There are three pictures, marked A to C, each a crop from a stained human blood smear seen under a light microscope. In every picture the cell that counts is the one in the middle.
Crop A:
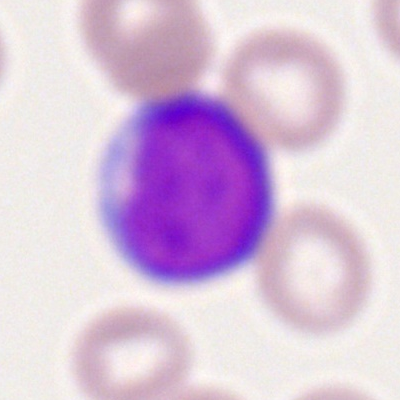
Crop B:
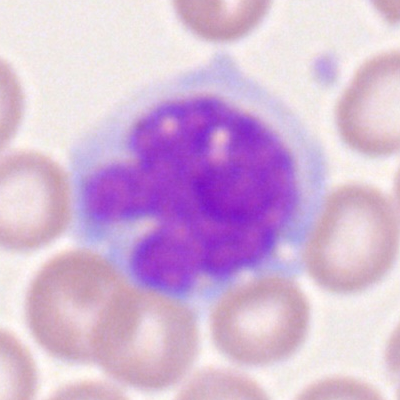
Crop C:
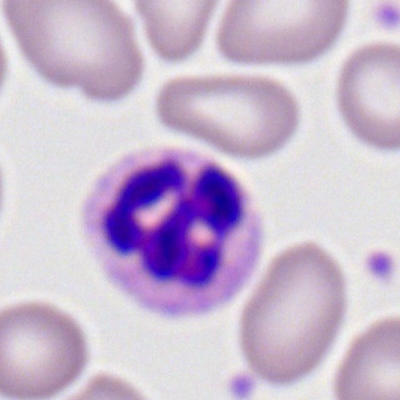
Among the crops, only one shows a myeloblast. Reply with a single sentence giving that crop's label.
Crop A, and no other, shows a myeloblast.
